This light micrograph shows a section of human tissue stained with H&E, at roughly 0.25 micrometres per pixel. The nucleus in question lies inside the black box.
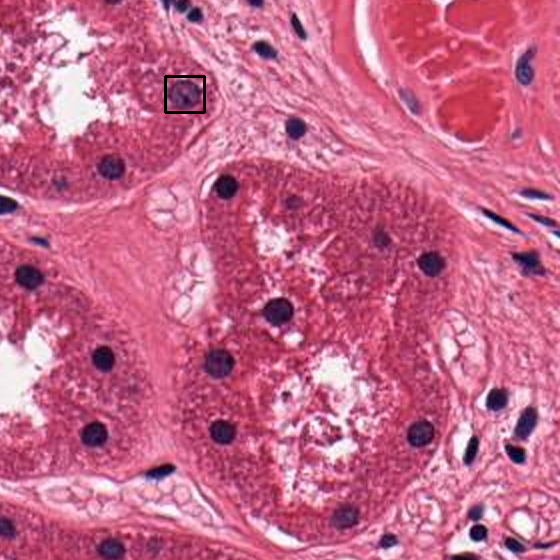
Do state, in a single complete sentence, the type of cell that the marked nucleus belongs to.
Belonging to a proximal tubule cell is the marked nucleus.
